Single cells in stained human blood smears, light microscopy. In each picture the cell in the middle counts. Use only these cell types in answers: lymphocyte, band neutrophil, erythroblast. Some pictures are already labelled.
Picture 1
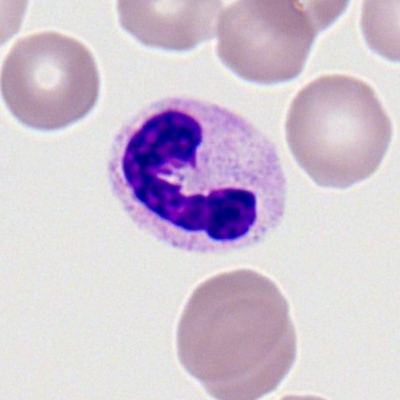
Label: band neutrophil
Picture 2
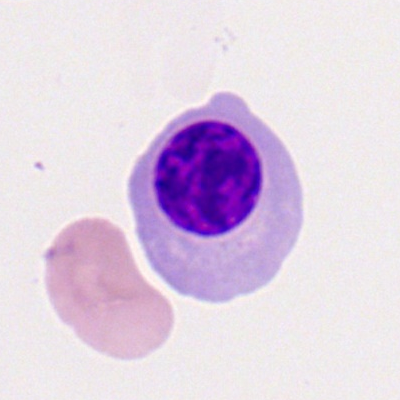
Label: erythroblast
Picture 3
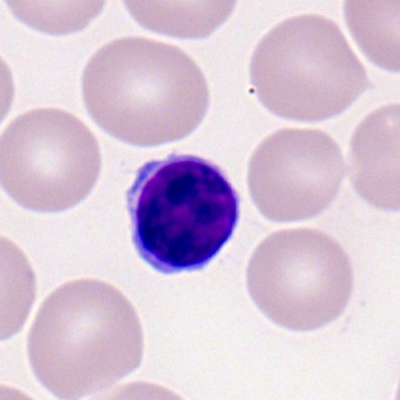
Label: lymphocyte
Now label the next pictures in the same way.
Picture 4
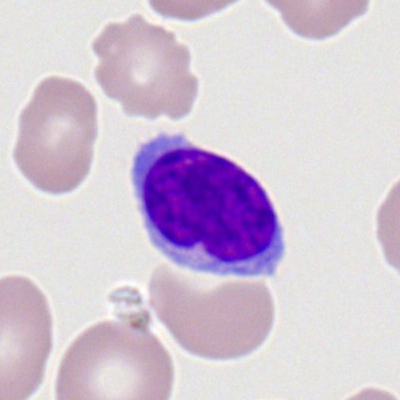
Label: lymphocyte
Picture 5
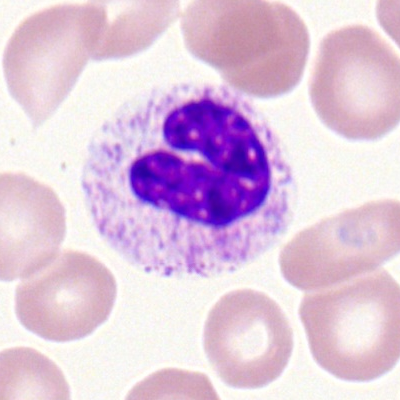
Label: band neutrophil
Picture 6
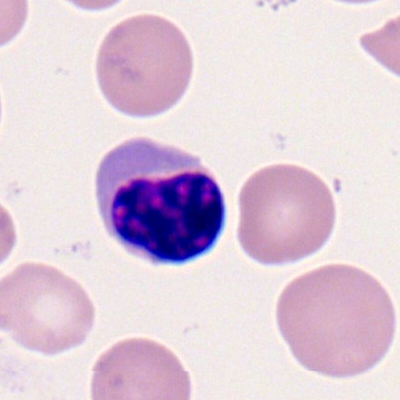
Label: erythroblast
